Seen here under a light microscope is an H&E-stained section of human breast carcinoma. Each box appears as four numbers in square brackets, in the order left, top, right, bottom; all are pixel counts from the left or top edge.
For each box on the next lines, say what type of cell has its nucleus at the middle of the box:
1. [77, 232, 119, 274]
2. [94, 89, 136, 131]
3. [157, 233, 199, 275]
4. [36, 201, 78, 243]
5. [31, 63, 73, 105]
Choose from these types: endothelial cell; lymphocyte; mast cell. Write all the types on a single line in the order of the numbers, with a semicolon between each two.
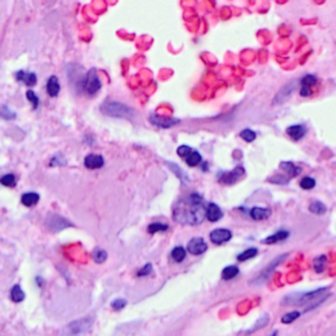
endothelial cell; endothelial cell; lymphocyte; endothelial cell; lymphocyte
